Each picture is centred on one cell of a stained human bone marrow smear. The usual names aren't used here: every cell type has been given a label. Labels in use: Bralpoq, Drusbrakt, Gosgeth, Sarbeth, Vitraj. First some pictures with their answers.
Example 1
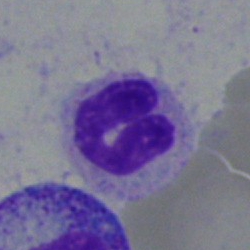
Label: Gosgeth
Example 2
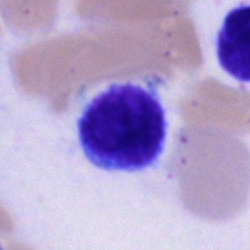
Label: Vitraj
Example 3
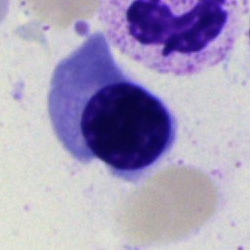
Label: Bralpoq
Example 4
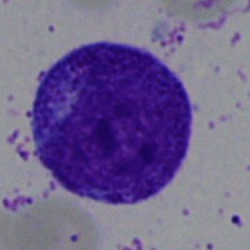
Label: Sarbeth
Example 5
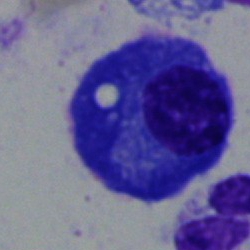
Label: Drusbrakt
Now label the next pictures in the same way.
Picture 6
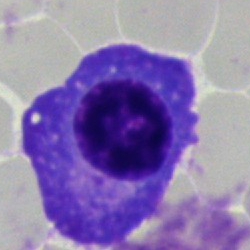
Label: Drusbrakt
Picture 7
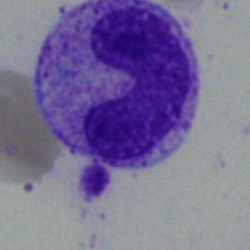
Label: Gosgeth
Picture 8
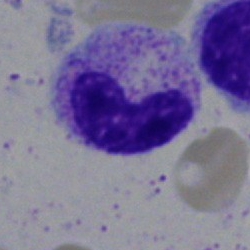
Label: Gosgeth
